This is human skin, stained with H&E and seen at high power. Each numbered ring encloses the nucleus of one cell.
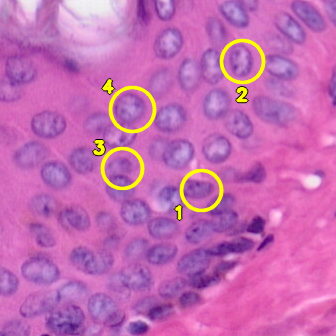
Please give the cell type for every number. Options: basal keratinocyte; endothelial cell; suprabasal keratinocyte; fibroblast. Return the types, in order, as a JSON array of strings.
["basal keratinocyte", "suprabasal keratinocyte", "suprabasal keratinocyte", "suprabasal keratinocyte"]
